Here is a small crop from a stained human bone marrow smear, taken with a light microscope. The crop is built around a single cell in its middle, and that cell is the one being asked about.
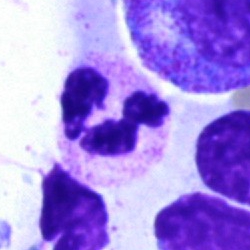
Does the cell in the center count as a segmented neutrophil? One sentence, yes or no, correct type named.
Yes, within this crop, the central cell is a segmented neutrophil.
